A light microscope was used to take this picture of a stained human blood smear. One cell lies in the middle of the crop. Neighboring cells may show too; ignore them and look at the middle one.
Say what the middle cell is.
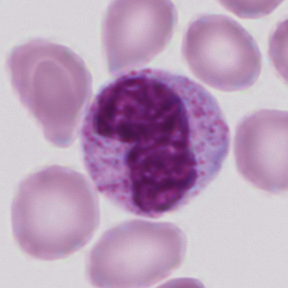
band neutrophil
